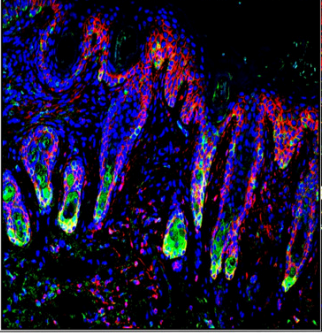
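This is a section of skin seen in fluorescence, with blue nuclei densely packed in the epithelium along the top and in several long finger-like epithelial structures reaching downward. Red fills the cells of the surface epithelium and lines these elongated structures. Bright green clusters sit mainly at the lower, rounded ends of the downward structures, some mixed with red. Between them lies darker tissue with sparser blue nuclei and scattered small red and green dots.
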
